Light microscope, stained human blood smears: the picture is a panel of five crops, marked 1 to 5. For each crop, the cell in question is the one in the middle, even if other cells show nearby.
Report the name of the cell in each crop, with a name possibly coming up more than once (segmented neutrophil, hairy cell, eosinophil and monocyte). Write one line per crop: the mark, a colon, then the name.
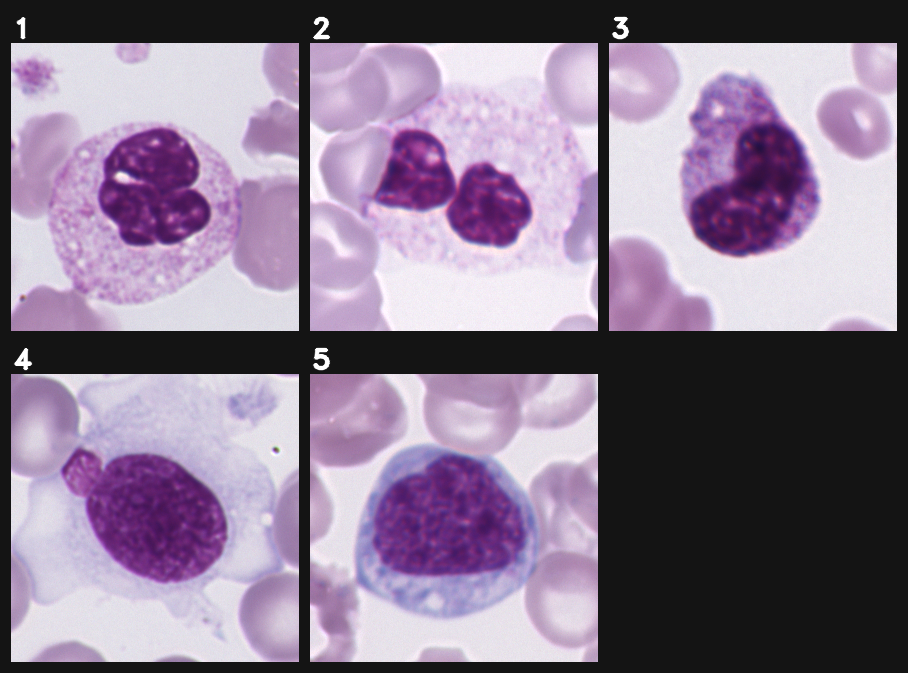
1: segmented neutrophil
2: segmented neutrophil
3: monocyte
4: hairy cell
5: monocyte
